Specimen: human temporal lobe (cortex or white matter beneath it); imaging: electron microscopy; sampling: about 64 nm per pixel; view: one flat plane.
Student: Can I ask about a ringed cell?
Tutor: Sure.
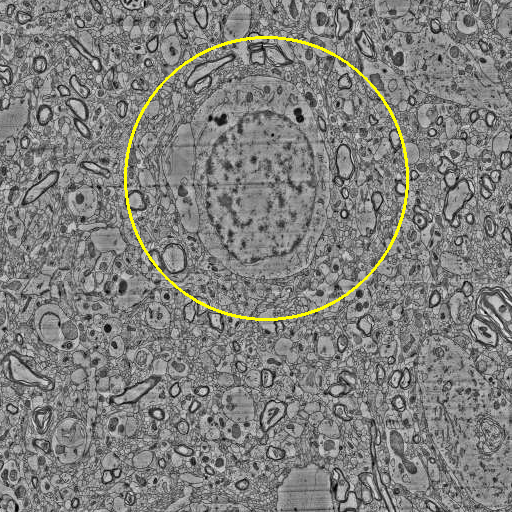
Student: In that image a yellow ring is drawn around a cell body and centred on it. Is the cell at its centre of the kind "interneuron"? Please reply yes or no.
Yes, the cell is of that kind.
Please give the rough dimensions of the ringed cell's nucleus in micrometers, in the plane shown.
The nucleus has a long axis of about 10 micrometres and a short axis of about 7 micrometres in this plane.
